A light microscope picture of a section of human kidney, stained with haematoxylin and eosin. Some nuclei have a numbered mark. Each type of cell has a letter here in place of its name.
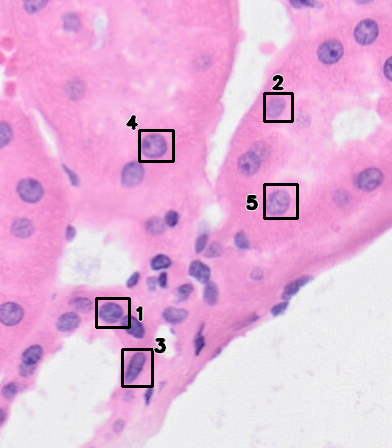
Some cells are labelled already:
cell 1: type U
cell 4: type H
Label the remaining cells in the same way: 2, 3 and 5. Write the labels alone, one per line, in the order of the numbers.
type H
type U
type H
